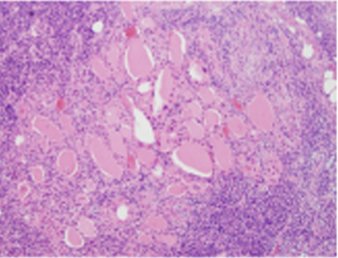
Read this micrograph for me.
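This is thyroid tissue made up of follicles of many sizes, with no calcified bodies in view. The follicles are round to oval spaces filled with smooth, evenly pink colloid, some with small clefts or clear gaps where the colloid has pulled away. Between and around the follicles, especially toward the lower and left parts of the field, the tissue is crowded with densely packed small purple nuclei. No dark purple rounded concretions are seen anywhere in the field.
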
